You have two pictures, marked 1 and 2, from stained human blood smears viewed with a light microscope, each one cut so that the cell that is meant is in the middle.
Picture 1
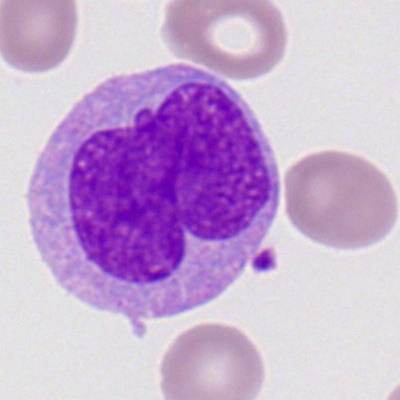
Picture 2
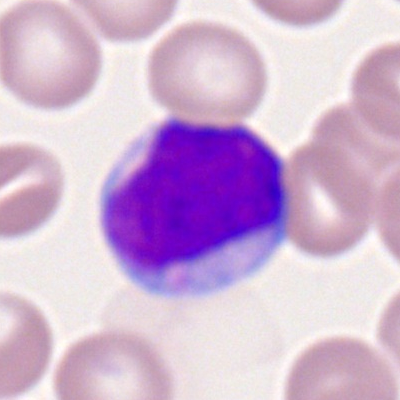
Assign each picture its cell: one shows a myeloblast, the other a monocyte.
1: monocyte
2: myeloblast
